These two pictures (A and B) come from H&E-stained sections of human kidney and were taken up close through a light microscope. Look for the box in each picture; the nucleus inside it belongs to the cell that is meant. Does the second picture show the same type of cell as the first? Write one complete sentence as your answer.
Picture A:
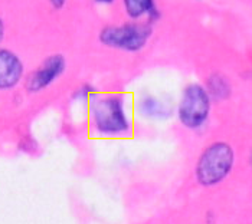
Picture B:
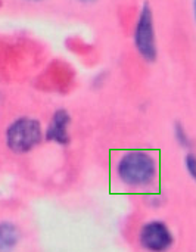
Yes, both cells are “loop of Henle or distal tubule cells”.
